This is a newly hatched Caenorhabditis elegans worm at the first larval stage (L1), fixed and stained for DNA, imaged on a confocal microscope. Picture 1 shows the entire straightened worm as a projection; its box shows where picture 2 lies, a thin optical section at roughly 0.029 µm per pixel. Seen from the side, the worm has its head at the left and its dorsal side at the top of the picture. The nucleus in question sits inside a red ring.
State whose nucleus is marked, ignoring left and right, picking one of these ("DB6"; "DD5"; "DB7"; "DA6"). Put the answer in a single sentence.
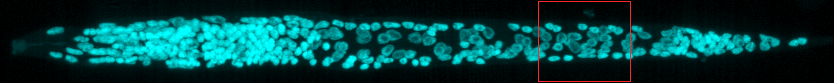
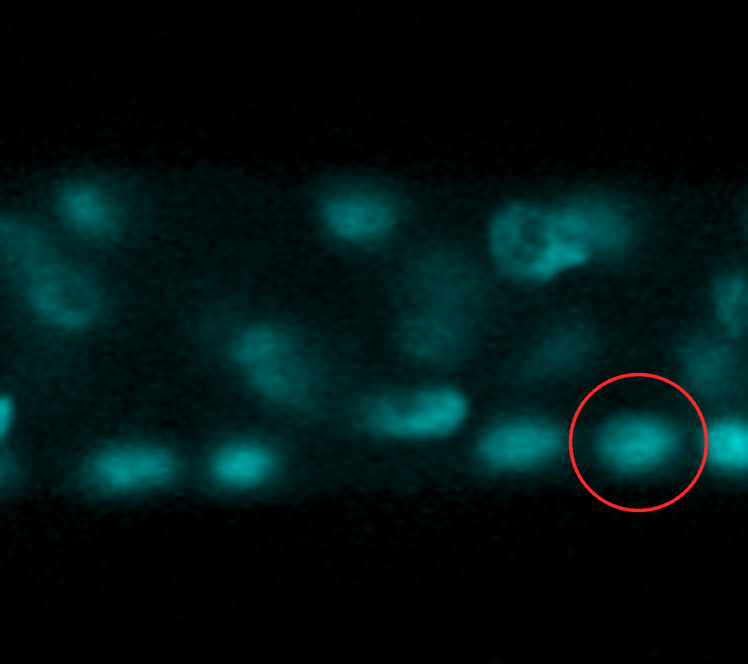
The marked nucleus is that of DB7, a neuron.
